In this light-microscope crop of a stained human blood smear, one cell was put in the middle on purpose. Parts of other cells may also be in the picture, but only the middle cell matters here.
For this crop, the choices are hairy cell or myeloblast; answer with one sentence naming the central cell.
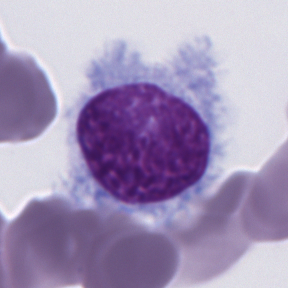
On this slide crop, the central cell is a hairy cell.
